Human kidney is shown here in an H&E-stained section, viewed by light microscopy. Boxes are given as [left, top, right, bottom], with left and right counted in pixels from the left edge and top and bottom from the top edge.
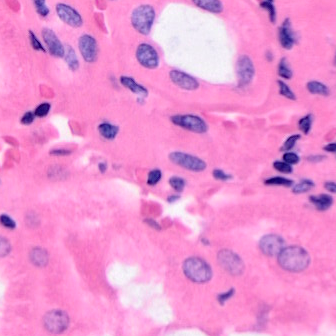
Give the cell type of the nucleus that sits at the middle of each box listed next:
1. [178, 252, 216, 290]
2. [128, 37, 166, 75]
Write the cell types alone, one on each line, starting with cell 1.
proximal tubule cell
loop of Henle or distal tubule cell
